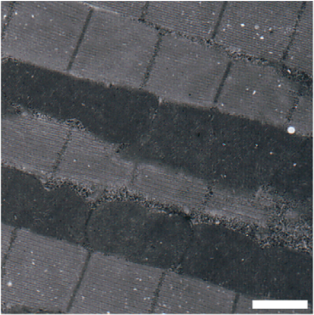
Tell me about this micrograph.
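Flight muscle with regularly arranged myofibrils running diagonally, crossed at even intervals by thin dark lines marking sarcomeres. Between the myofibrils lie long, continuous, dark mitochondria packed tightly against them. No empty spaces separate fibrils from mitochondria.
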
